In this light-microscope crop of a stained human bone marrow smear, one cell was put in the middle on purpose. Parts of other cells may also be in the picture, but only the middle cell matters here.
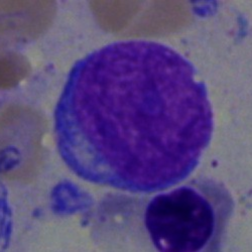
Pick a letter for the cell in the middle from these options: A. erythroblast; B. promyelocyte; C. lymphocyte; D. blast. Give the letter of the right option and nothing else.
D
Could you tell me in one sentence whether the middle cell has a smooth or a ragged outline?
There are no projections here; the outline is simply smooth.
